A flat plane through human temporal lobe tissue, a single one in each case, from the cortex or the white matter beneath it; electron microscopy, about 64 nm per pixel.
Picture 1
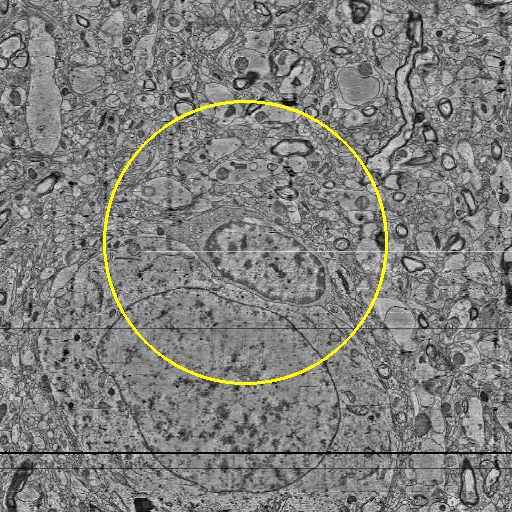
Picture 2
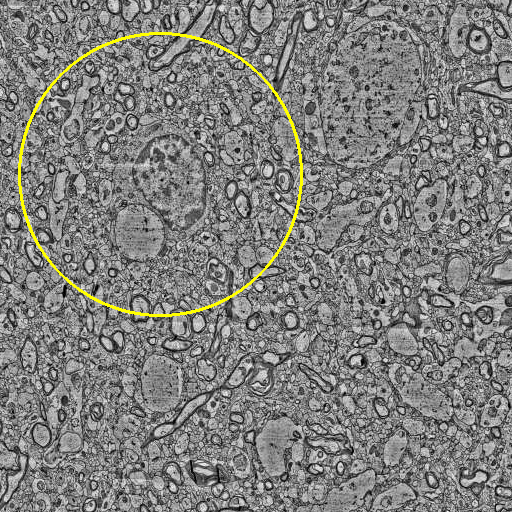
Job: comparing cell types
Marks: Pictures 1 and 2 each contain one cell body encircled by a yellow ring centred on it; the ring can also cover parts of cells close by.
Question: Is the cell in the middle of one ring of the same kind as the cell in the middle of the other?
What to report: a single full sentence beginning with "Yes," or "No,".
Yes, the cell at the ring centre in Picture 1 and its partner in Picture 2 are of one kind.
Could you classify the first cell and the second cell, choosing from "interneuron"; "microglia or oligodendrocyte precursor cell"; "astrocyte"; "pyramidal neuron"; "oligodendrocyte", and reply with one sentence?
Each cell, in the first picture and the second, is an oligodendrocyte.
